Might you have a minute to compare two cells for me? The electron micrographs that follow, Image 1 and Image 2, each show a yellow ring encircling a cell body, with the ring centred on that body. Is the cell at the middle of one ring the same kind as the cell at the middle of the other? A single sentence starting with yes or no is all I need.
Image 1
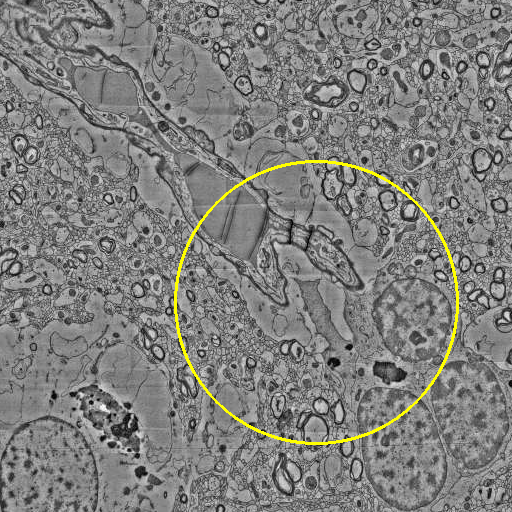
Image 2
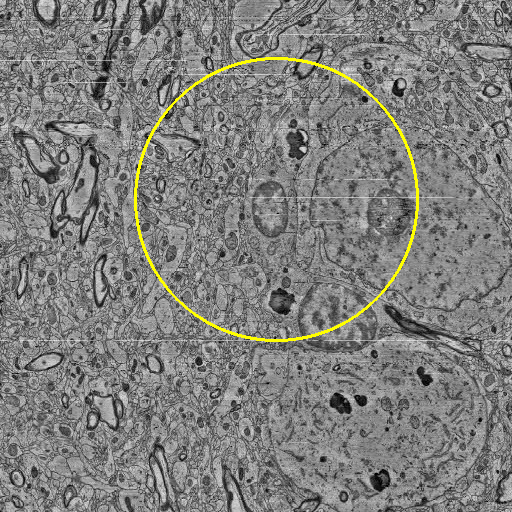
Yes, the cells in the middle of the two rings are of one shared kind.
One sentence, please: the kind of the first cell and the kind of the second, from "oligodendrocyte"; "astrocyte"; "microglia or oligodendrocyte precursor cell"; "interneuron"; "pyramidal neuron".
The first and the second cell are each an oligodendrocyte.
